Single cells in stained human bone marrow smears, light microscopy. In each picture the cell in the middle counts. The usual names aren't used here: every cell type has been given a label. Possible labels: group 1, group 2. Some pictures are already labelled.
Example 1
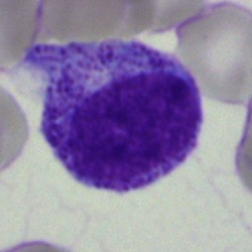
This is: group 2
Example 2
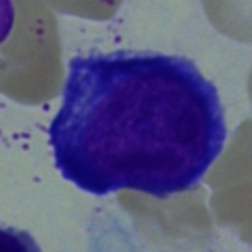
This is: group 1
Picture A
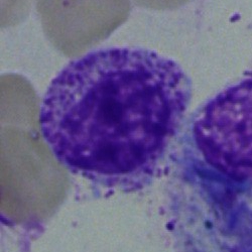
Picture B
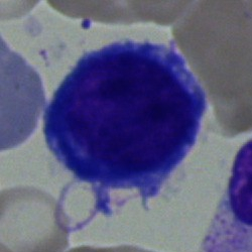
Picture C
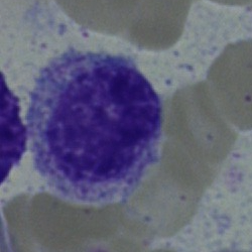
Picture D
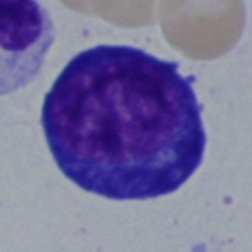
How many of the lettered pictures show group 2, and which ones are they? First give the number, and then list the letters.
2: A, C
